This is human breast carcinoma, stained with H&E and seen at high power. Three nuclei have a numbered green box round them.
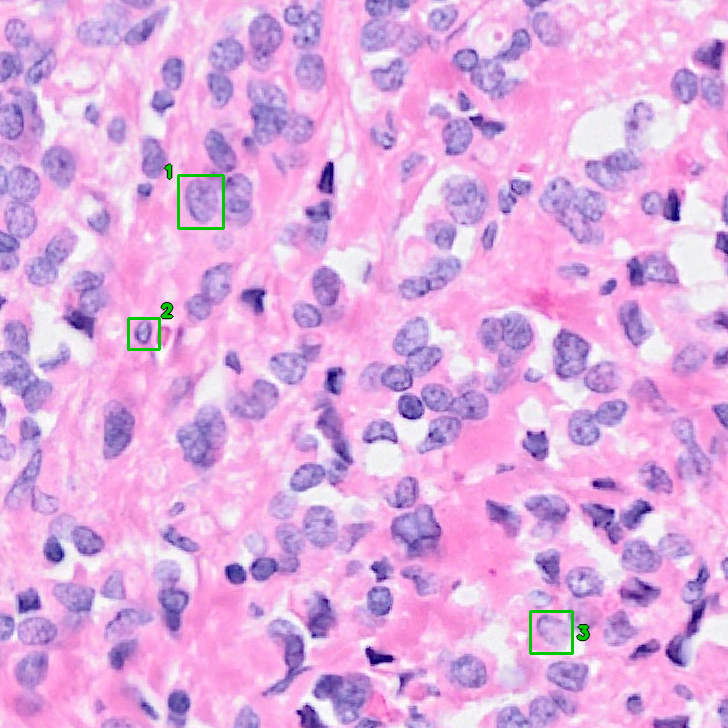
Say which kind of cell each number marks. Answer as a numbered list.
1. carcinoma cell
2. endothelial cell
3. carcinoma cell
